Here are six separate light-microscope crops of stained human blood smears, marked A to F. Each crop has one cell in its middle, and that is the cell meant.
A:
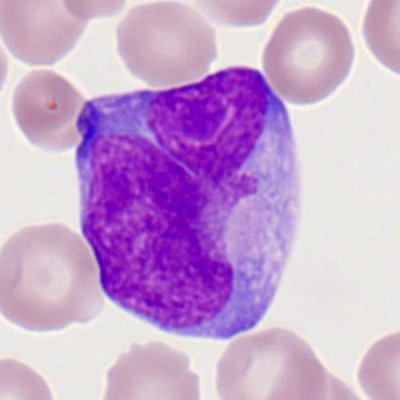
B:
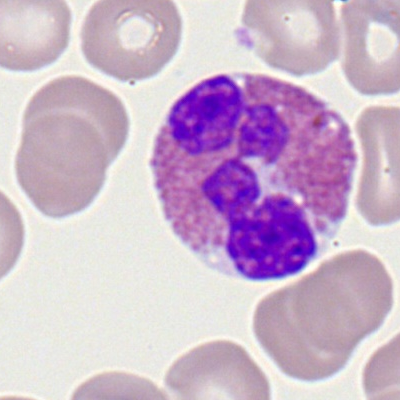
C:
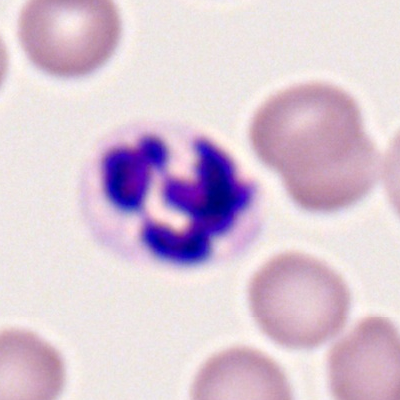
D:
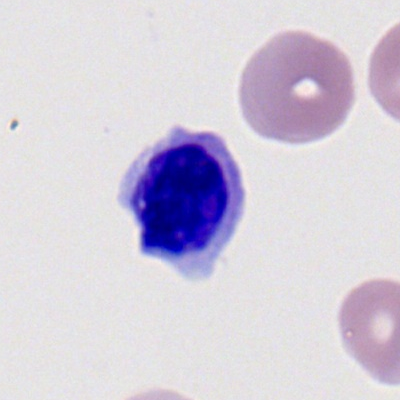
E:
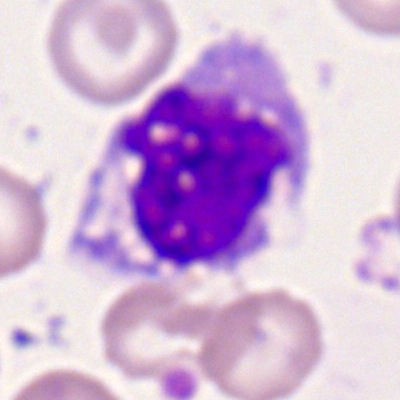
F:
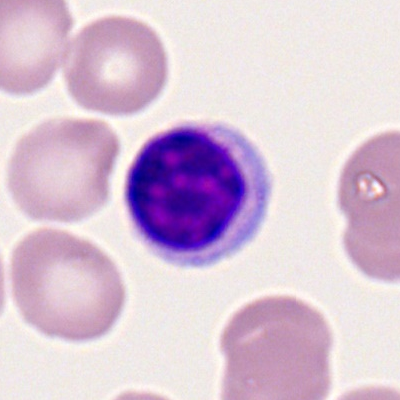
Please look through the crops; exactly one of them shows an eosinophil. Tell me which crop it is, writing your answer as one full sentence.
Among these crops, crop B holds an eosinophil.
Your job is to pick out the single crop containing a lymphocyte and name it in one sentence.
It is in crop F that a lymphocyte is shown.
